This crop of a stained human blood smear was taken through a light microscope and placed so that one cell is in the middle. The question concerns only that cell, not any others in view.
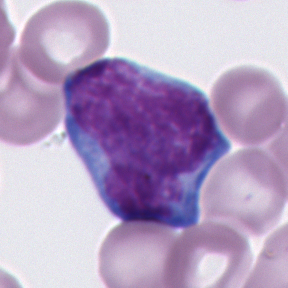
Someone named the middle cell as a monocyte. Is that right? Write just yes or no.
no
